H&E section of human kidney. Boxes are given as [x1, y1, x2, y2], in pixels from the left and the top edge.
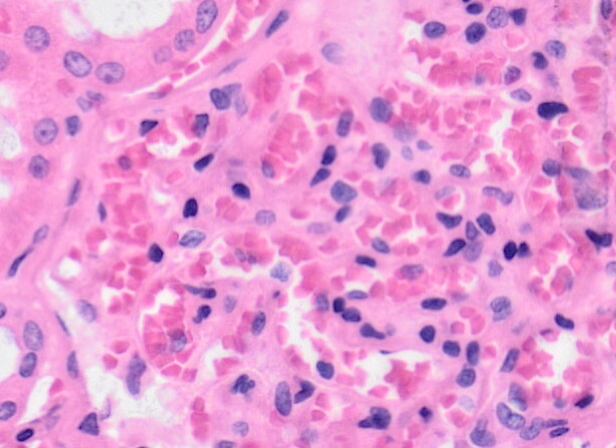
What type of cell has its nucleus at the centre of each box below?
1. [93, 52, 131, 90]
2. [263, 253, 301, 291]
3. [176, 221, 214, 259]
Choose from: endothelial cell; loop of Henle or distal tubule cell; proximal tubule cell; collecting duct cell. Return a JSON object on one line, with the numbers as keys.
{"1": "proximal tubule cell", "2": "endothelial cell", "3": "endothelial cell"}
